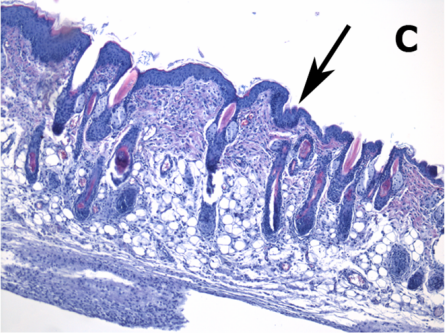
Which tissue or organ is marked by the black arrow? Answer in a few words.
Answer: Epidermis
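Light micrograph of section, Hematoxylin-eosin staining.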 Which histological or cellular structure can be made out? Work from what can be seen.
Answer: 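Elongated follicle-like structures extend down from the surface into the dermis. Hair shafts stained pink-red lie within these structures. The answer: skin appendages.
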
